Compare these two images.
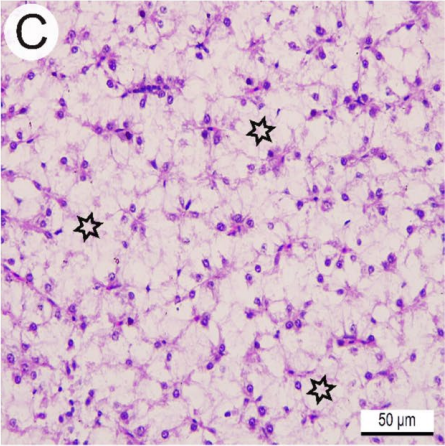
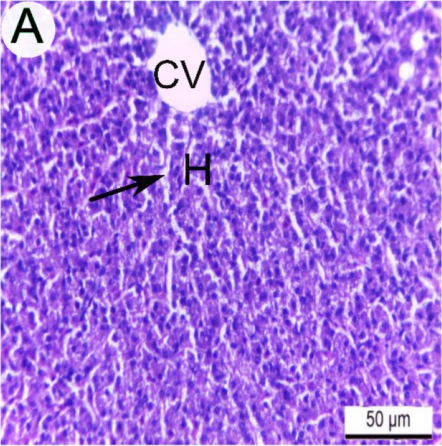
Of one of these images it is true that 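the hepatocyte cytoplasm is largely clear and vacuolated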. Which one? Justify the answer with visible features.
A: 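The first image. First image: hepatocytes have nearly empty pale cytoplasm with thin pink strands. Second image: hepatocytes are densely stained purple and packed in rows with no clear vacuoles.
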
